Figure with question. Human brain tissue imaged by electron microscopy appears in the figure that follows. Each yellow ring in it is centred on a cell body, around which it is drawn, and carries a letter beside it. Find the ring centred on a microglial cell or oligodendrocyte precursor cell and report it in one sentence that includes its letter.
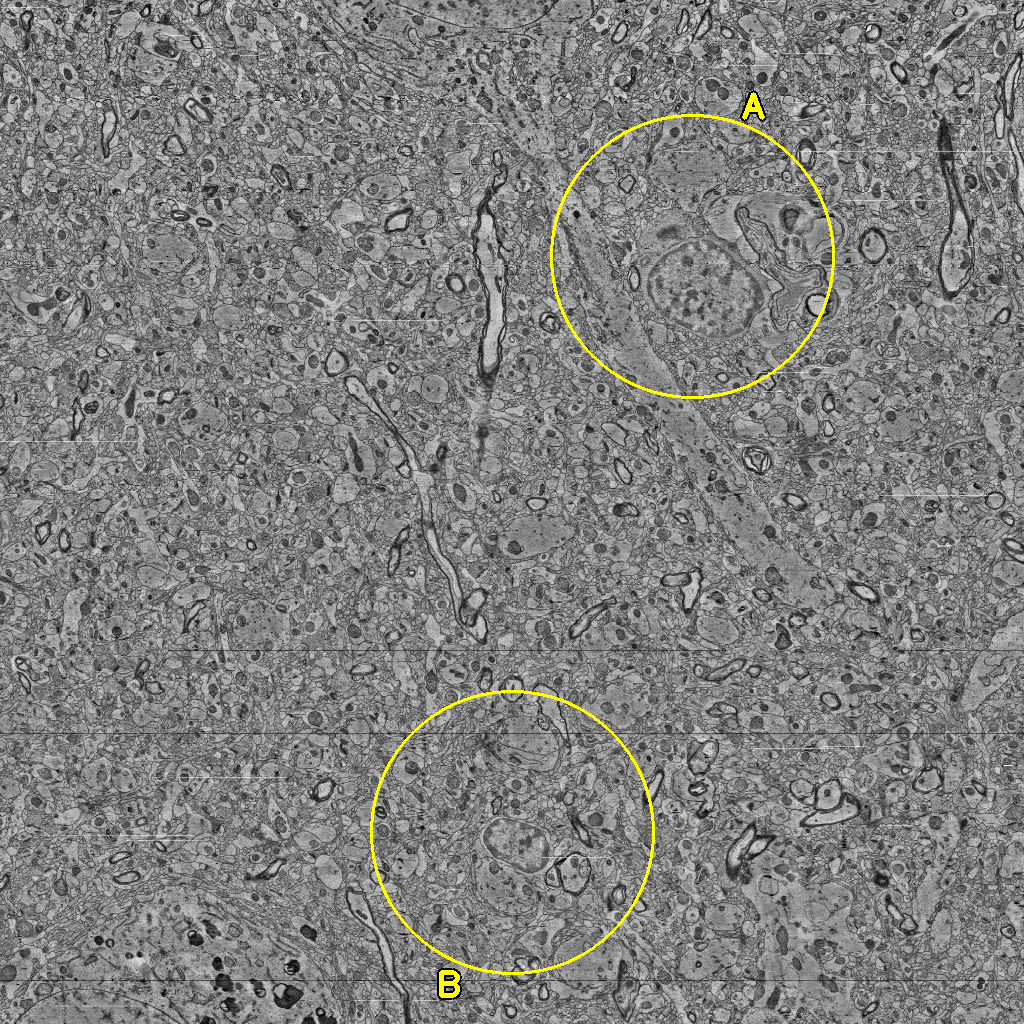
Ring B is the one centred on it.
